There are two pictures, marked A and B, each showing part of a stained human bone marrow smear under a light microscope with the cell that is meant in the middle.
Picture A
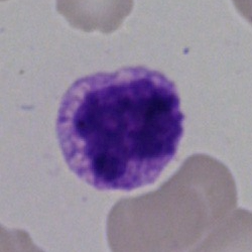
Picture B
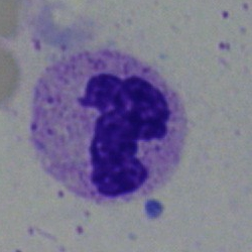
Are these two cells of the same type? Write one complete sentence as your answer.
No, picture A shows a basophil and picture B shows a segmented neutrophil.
